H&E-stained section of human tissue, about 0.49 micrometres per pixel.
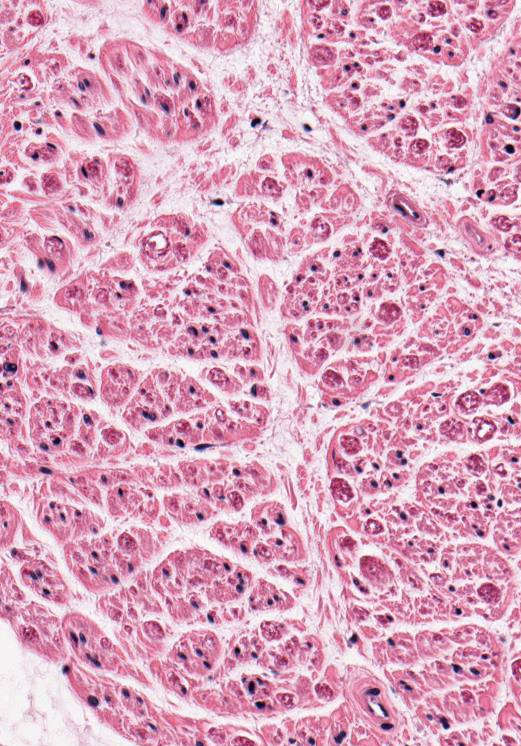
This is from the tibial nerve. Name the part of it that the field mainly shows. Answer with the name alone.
nerve fascicle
